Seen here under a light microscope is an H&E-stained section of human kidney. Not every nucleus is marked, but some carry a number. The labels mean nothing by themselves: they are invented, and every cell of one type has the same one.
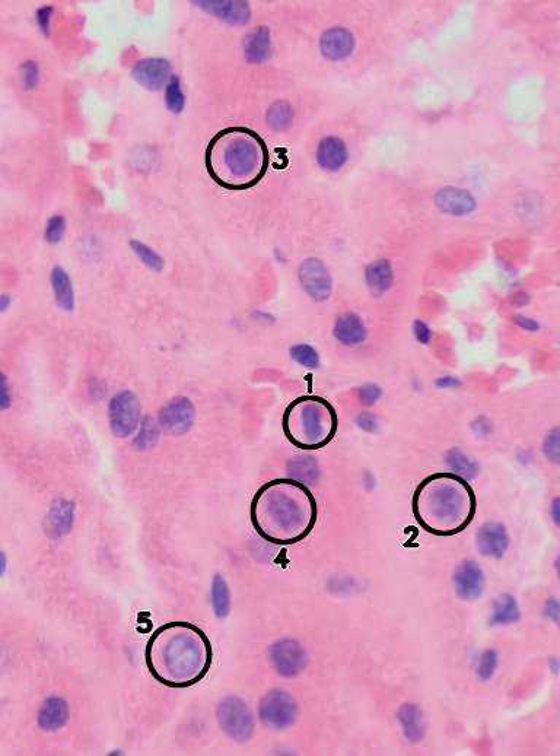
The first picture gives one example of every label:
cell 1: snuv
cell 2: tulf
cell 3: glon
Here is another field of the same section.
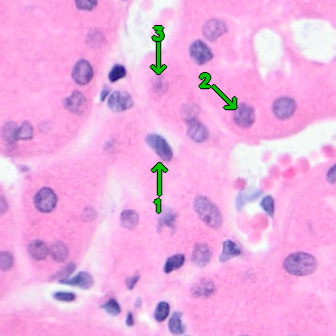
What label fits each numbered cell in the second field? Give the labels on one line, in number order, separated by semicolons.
snuv; glon; glon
